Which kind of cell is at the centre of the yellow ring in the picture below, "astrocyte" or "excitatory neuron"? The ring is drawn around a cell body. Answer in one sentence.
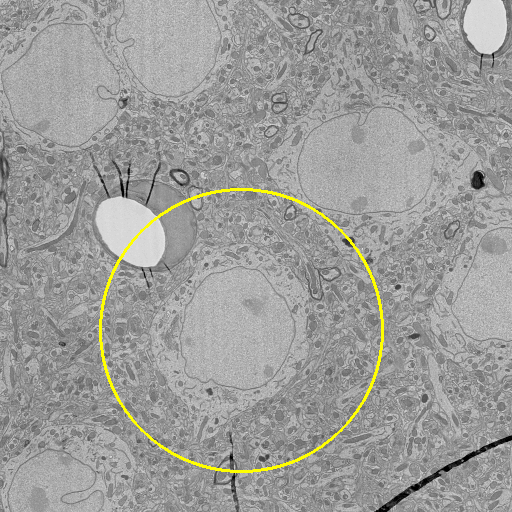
The ring's central cell is an excitatory neuron.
